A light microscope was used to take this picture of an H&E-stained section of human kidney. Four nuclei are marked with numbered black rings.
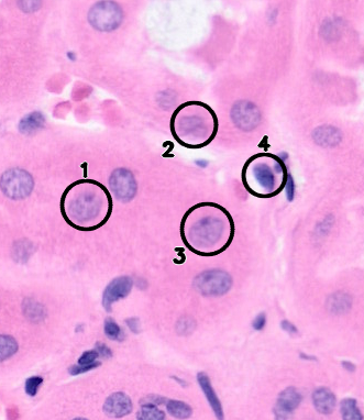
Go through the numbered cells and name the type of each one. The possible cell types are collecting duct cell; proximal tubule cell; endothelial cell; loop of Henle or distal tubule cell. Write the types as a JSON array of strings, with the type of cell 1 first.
["proximal tubule cell", "proximal tubule cell", "proximal tubule cell", "endothelial cell"]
